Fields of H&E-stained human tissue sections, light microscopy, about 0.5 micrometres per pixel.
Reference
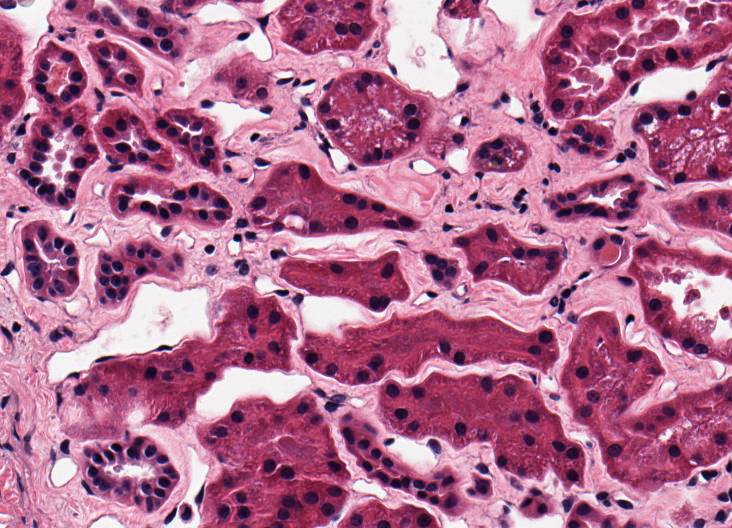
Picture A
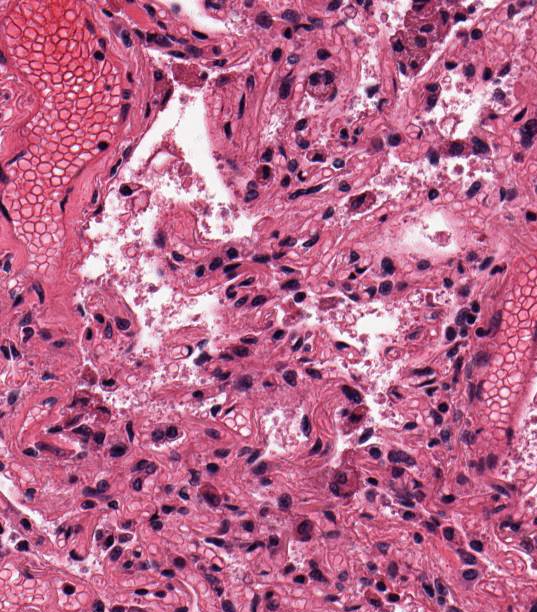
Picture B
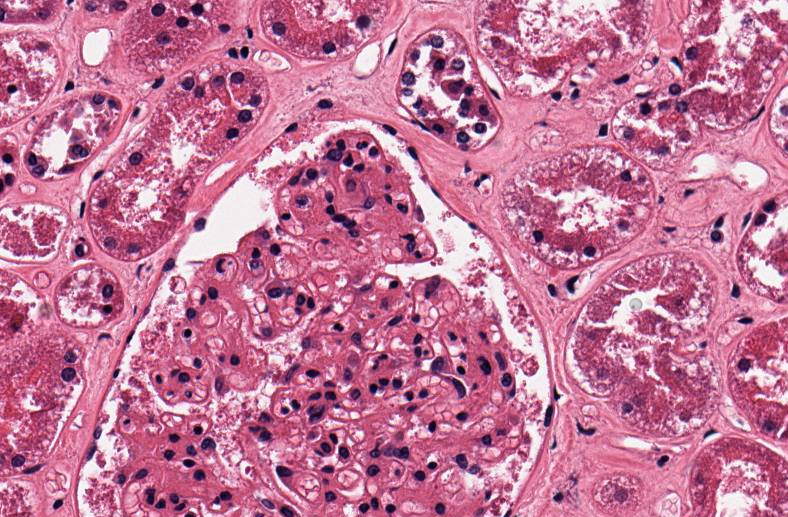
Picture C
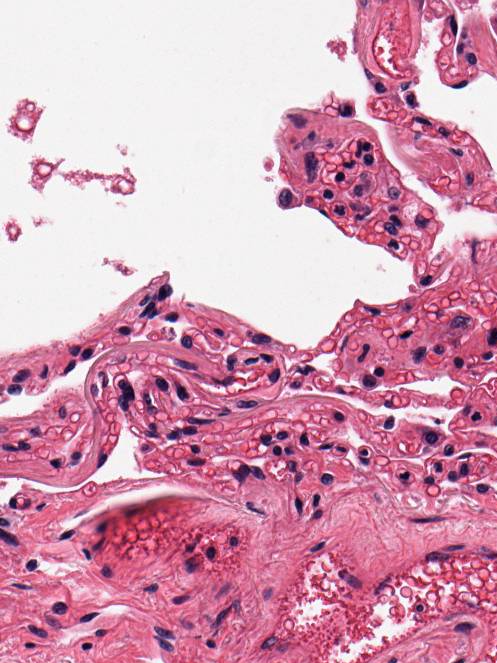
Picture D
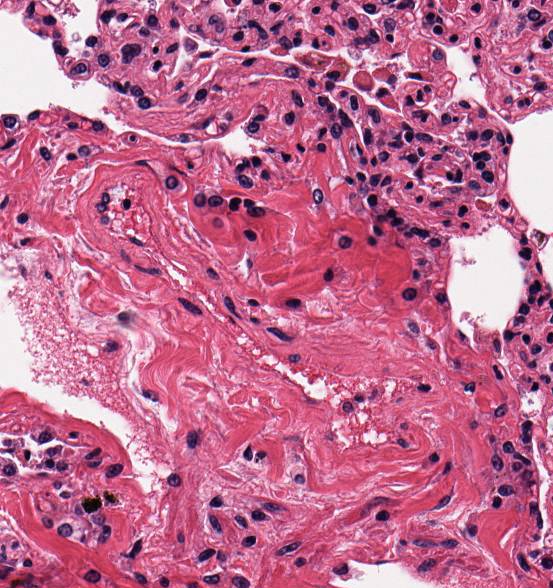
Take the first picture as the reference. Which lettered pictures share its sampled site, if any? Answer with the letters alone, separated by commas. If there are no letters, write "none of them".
B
